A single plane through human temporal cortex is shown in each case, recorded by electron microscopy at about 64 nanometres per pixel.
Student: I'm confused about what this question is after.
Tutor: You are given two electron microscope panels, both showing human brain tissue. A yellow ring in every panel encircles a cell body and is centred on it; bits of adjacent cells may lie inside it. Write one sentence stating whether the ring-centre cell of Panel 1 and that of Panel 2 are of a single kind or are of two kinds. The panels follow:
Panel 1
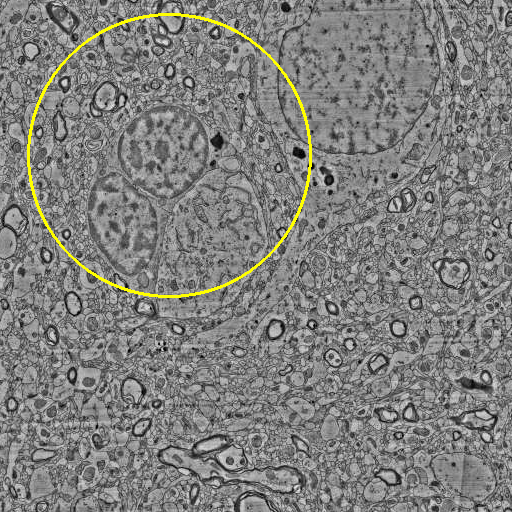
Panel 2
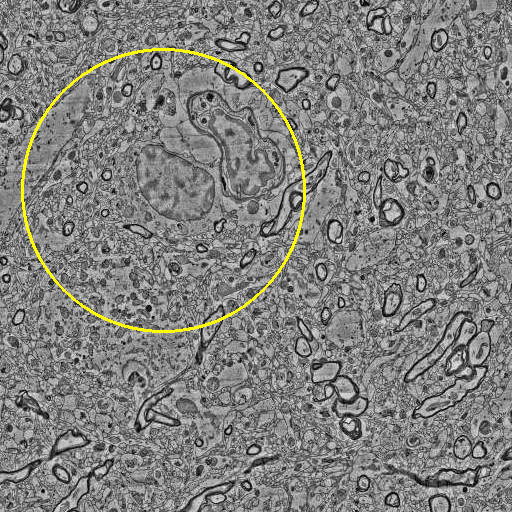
Here, the Panel 1 ring-centre cell and the Panel 2 ring-centre cell are of a single kind.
